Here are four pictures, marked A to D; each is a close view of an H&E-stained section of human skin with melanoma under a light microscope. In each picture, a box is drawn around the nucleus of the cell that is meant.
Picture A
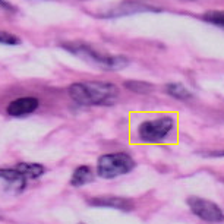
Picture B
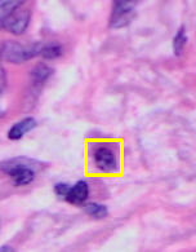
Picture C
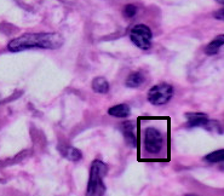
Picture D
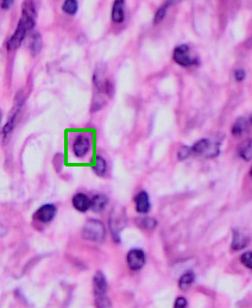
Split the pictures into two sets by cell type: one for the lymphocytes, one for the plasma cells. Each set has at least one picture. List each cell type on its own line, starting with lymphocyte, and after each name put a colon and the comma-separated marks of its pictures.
lymphocyte: A
plasma cell: B, C, D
